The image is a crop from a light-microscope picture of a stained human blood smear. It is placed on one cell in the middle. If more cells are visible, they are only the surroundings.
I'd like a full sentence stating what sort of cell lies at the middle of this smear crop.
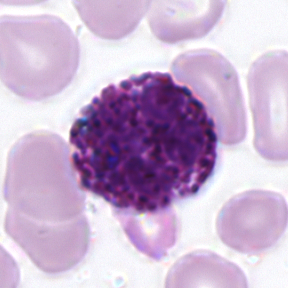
To answer, the cell in the center of the crop is a basophil.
